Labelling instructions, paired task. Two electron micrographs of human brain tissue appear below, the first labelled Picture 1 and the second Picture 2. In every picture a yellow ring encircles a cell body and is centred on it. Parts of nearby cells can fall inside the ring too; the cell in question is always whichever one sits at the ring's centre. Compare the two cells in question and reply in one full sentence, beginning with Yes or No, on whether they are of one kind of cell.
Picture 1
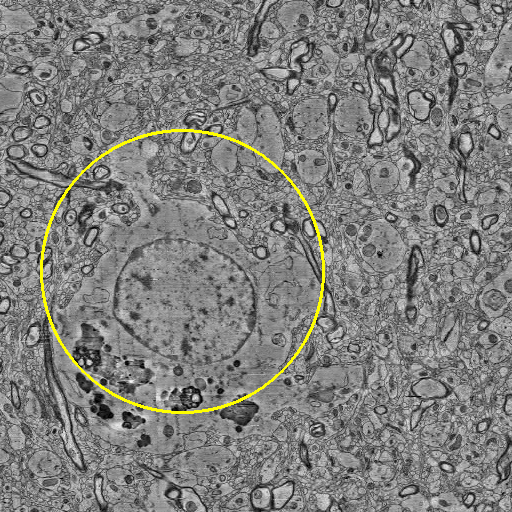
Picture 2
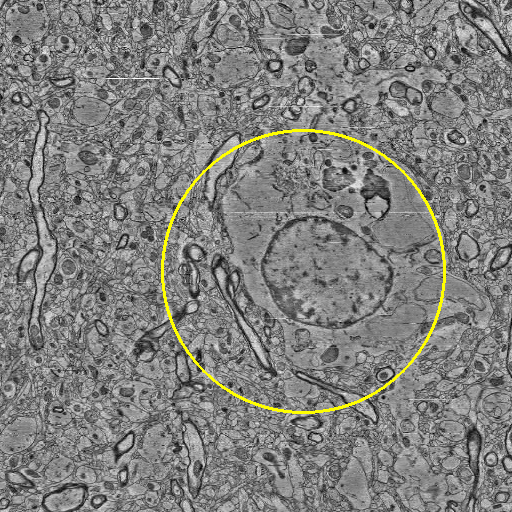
Yes, the two cells at the ring centres in Picture 1 and Picture 2 are of one kind.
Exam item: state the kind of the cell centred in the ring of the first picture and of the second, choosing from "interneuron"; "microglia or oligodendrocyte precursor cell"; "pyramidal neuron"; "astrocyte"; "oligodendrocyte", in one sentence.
The cell in the first picture is an astrocyte, and so is the one in the second.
